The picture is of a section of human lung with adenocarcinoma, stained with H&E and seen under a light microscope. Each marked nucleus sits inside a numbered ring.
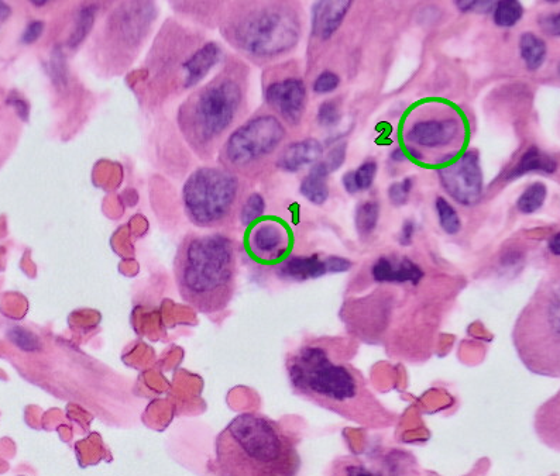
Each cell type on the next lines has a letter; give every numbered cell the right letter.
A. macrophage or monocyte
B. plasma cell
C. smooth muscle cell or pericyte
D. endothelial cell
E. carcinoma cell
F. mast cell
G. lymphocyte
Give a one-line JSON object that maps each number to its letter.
{"1": "G", "2": "E"}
